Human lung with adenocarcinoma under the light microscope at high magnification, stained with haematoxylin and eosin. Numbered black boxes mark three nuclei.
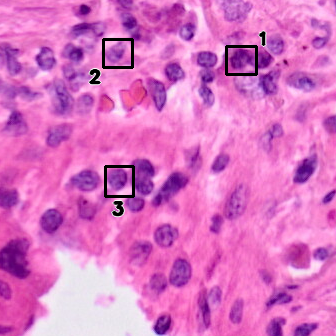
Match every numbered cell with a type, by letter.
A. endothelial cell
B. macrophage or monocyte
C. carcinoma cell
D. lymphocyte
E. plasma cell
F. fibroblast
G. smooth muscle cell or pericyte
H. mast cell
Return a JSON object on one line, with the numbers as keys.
{"1": "E", "2": "E", "3": "D"}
